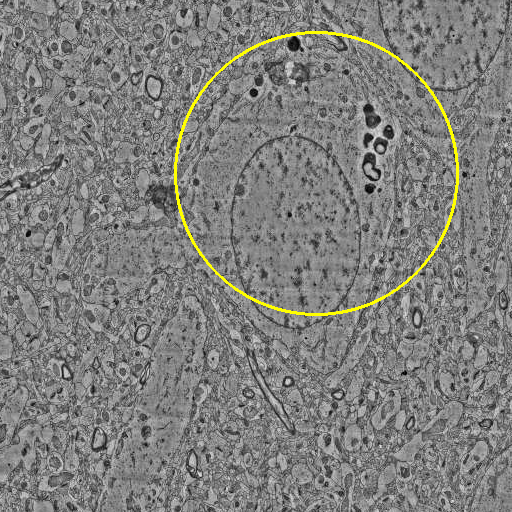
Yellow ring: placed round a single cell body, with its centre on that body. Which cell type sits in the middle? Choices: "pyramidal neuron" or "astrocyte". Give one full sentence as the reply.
It is a pyramidal neuron whose cell body sits at the centre of the yellow ring.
